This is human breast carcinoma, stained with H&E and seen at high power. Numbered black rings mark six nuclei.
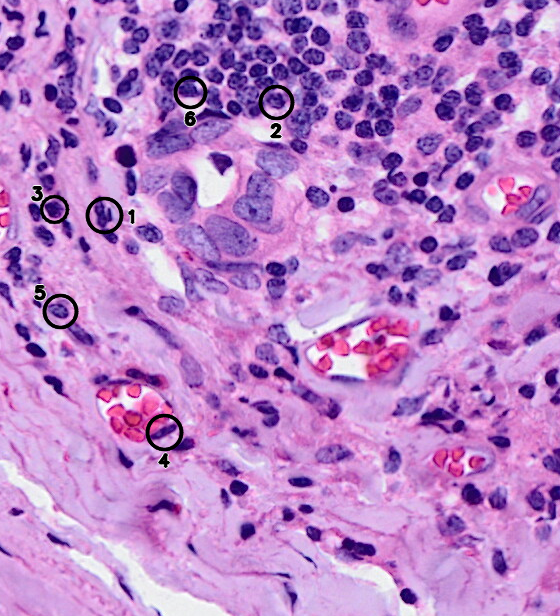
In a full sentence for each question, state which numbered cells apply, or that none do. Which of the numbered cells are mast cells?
Only the cell with number 5 is a mast cell.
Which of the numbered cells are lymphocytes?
The cells shown with numbers 1, 2, 3 and 6 are lymphocytes.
